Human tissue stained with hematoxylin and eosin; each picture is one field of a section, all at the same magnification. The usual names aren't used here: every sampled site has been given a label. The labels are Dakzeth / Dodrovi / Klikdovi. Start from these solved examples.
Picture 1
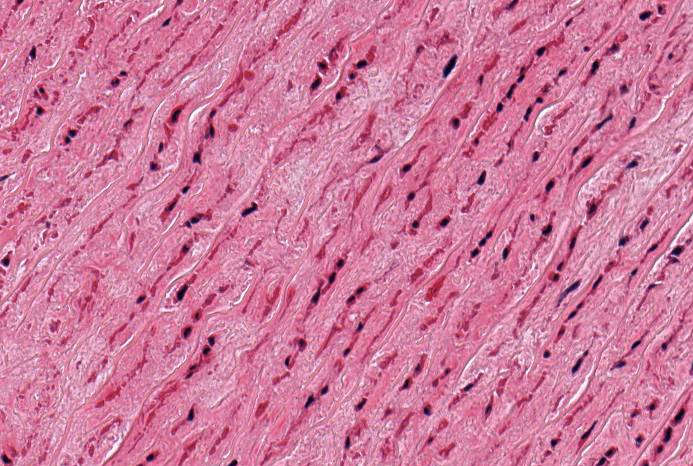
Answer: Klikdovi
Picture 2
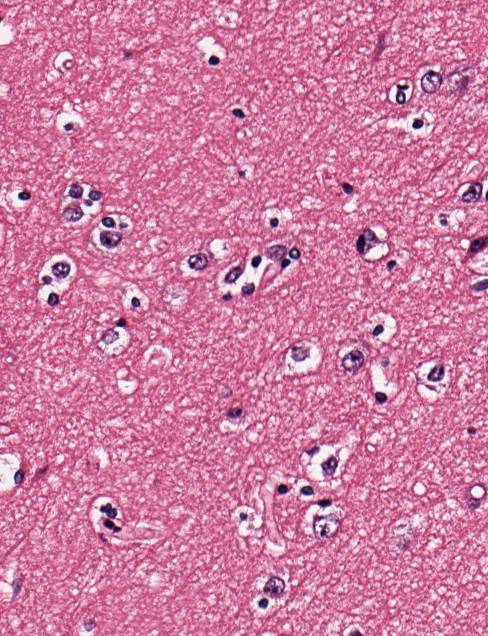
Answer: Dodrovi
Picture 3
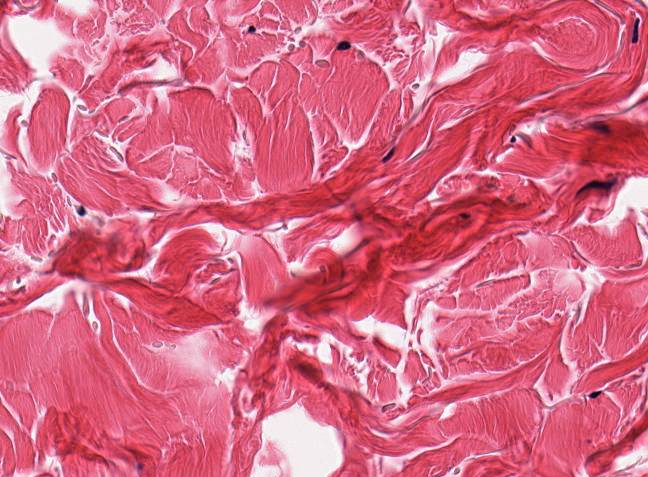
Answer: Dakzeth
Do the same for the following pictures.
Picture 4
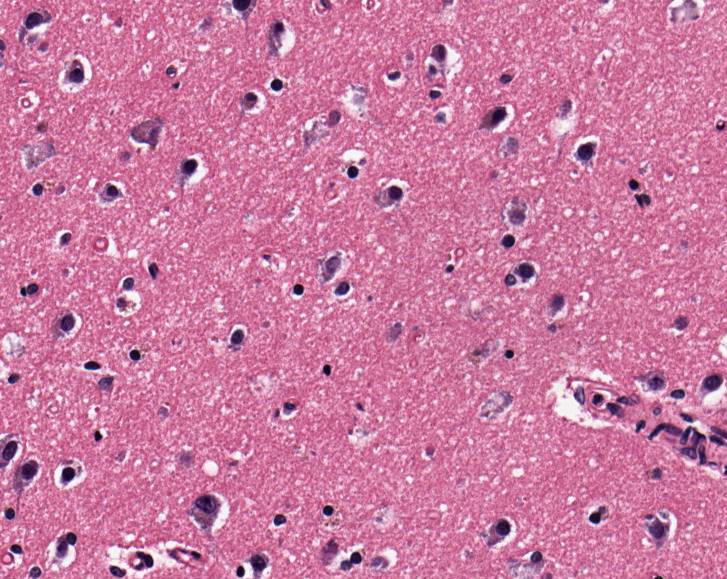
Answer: Dodrovi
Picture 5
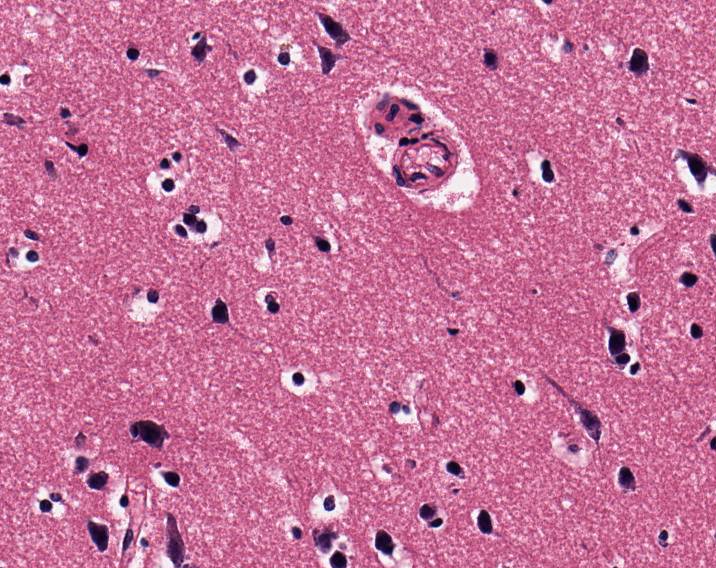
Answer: Dodrovi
